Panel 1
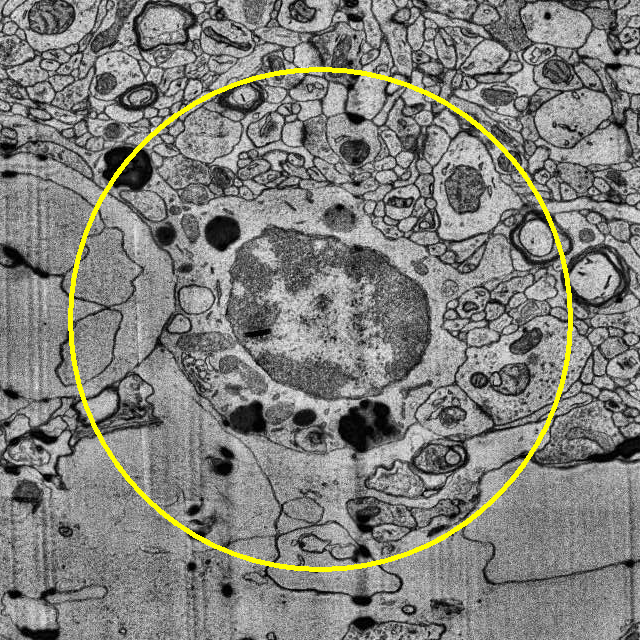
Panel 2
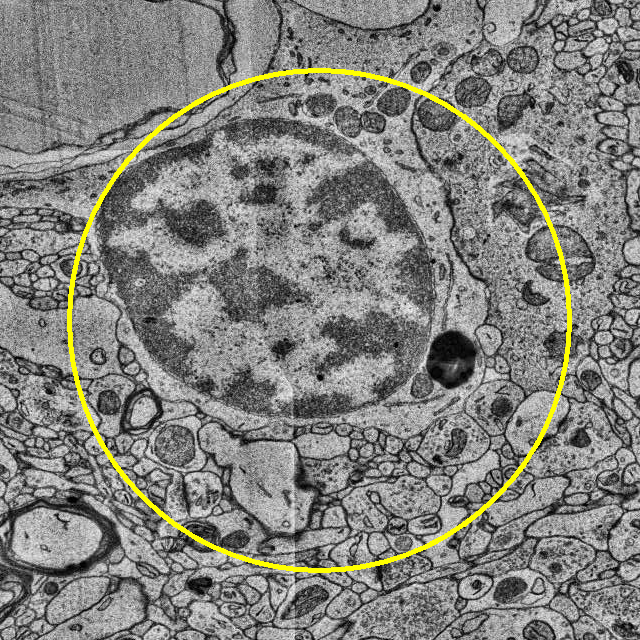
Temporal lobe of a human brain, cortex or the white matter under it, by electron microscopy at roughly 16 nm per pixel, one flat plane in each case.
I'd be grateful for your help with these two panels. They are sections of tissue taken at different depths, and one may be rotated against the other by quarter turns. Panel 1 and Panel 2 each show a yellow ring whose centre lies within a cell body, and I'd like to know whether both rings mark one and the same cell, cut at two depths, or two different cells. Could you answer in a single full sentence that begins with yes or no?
No, the two rings do not mark one cell; they mark two different cells.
